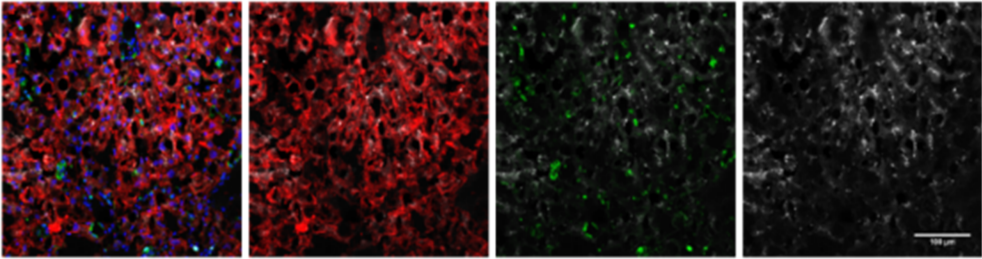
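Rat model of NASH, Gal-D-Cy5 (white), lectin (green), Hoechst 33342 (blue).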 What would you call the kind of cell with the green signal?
liver macrophages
